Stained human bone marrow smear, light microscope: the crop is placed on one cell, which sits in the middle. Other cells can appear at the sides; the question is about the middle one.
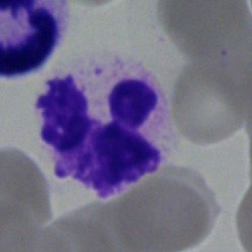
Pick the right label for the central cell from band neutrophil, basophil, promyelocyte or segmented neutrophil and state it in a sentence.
This crop is built around a basophil at its centre.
